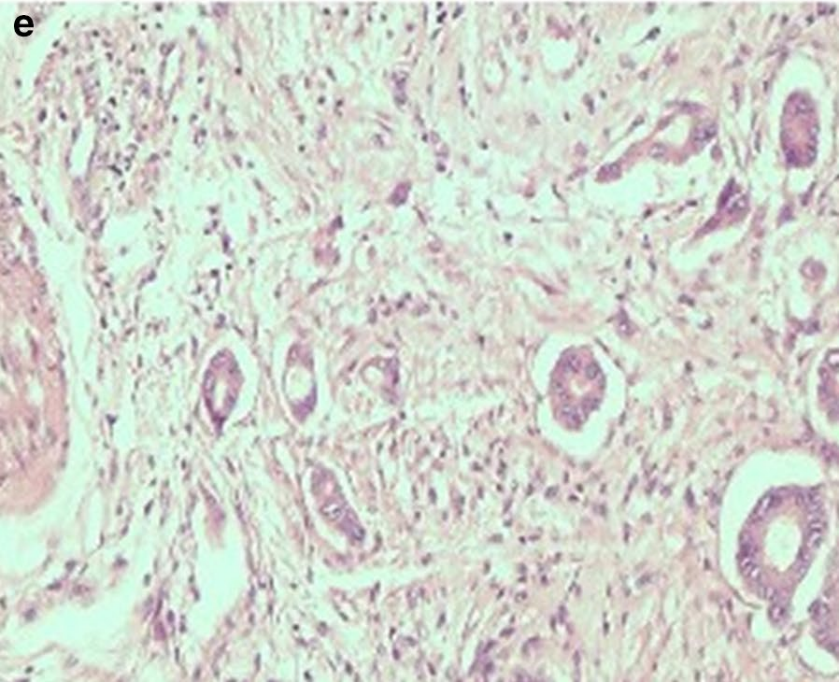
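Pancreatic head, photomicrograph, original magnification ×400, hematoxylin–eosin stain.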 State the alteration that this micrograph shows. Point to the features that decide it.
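Carcinoma. Small, irregularly spaced glands with a central lumen are scattered through the tissue. Loose spindle-cell fibrous stroma separates the glands instead of normal lobular tissue. Some glands are surrounded by a pale clear halo.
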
